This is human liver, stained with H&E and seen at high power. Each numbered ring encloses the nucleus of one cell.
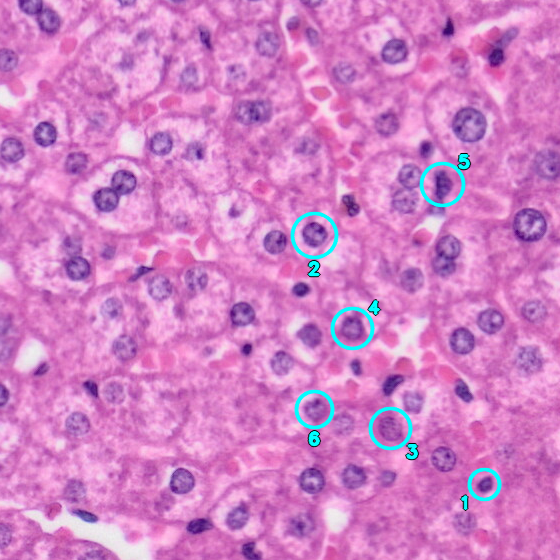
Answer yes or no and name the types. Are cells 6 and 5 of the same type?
No, cell 5 is a fibroblast or stellate cell, whereas cell 6 is a hepatocyte.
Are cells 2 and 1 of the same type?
No, the cell marked 2 is a hepatocyte, and the cell marked 1 is a lymphocyte.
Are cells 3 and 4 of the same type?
Yes, both cell 3 and cell 4 are classified as hepatocytes.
